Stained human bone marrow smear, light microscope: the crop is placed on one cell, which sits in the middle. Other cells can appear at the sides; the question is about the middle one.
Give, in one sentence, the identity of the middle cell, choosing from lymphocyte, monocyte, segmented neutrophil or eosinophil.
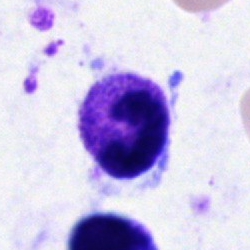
The crop's centre is taken up by a segmented neutrophil.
